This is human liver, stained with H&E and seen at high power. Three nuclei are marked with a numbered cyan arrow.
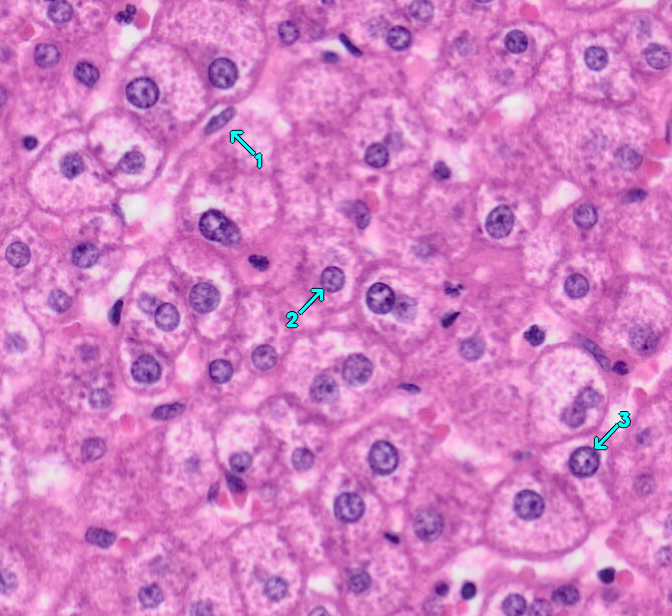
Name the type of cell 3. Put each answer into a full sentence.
Numbered cell 3 is a hepatocyte in this tissue section.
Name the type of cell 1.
The cell marked with number 1 is a Kupffer cell.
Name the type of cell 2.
In this section, number 2 marks a hepatocyte.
